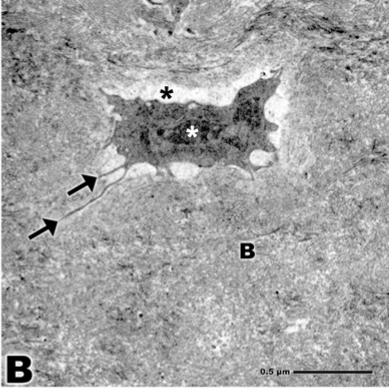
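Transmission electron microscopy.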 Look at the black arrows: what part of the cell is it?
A: cellular process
